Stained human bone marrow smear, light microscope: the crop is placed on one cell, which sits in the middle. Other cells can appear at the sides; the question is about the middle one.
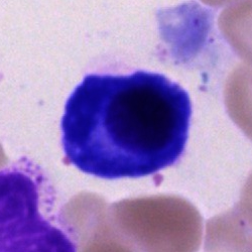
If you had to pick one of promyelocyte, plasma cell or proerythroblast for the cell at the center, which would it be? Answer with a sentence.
At the center of the crop sits a plasma cell.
